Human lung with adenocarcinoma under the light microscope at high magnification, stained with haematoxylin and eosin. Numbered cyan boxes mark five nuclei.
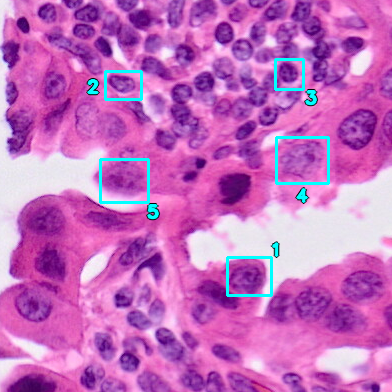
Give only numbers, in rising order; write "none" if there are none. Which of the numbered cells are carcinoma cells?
1, 4, 5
